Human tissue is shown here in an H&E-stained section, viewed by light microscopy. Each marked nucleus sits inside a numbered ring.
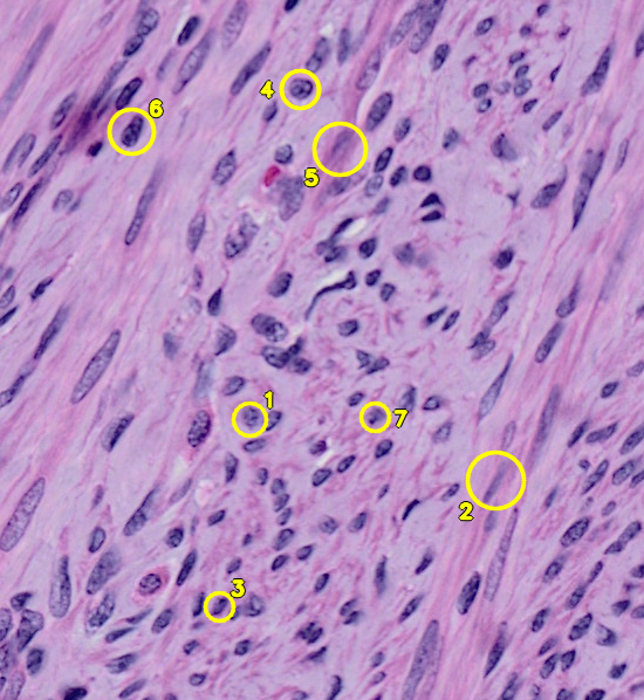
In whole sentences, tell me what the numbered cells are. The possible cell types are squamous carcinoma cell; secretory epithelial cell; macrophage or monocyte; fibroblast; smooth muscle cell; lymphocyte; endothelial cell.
Cells 1, 2, 3 and 7 are smooth muscle cells. Cells 4 and 6 are lymphocytes. Cell 5 is an endothelial cell.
